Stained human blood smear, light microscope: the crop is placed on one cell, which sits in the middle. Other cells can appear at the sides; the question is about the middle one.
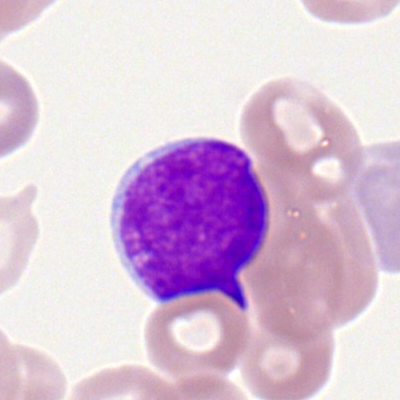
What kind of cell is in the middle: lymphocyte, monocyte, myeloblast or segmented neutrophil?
myeloblast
